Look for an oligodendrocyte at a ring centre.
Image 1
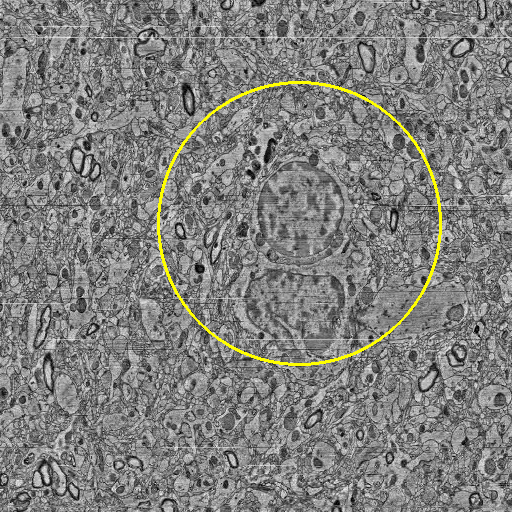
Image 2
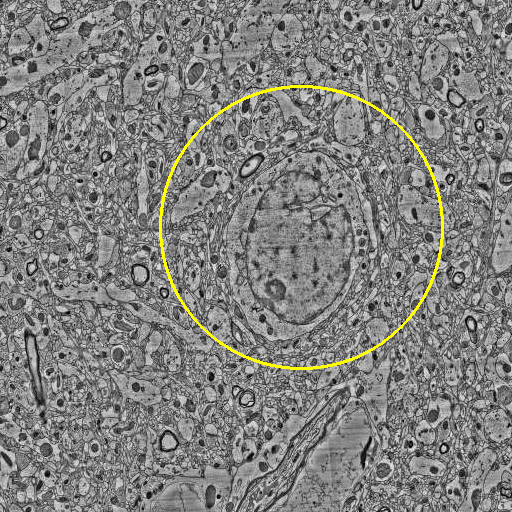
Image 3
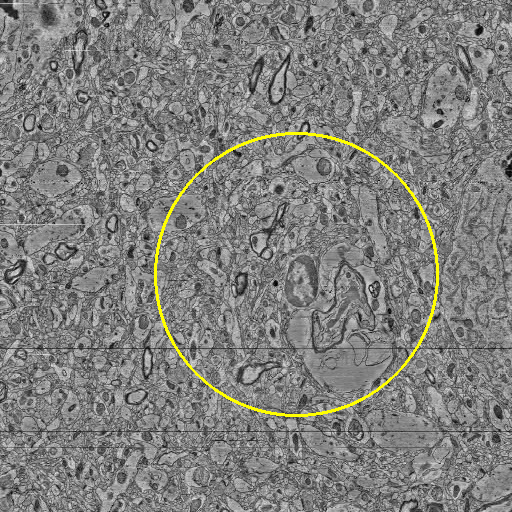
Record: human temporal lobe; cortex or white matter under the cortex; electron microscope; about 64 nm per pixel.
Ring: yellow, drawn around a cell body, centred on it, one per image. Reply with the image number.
1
